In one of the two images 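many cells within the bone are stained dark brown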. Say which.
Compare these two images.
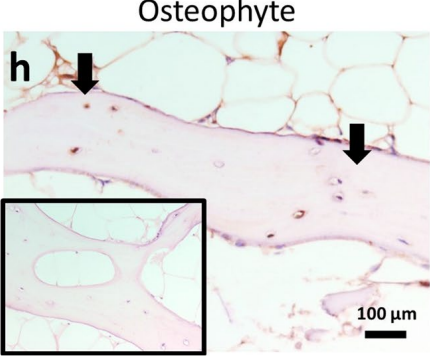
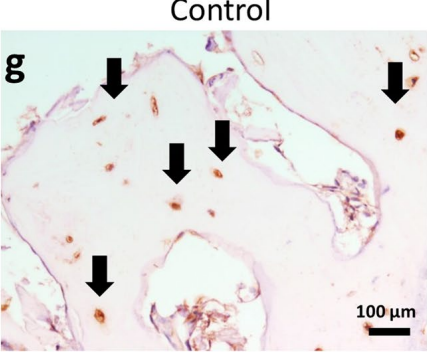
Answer: The second image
